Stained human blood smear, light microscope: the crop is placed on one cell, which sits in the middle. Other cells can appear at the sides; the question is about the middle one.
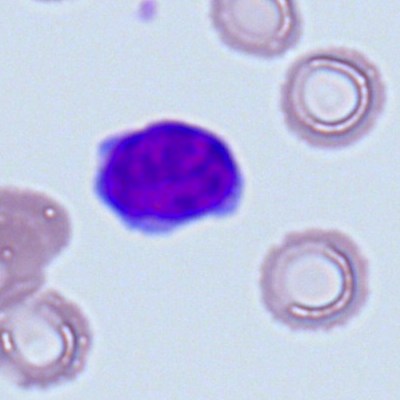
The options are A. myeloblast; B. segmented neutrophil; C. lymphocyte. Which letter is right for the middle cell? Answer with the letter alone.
C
